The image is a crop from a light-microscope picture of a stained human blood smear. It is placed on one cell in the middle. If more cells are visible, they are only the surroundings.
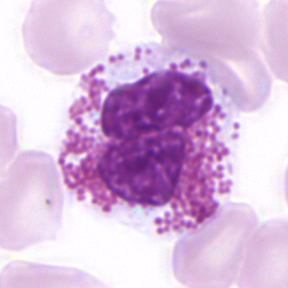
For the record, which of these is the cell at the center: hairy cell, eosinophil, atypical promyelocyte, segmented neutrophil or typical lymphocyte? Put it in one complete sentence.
By classification, the middle cell of this crop is an eosinophil.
